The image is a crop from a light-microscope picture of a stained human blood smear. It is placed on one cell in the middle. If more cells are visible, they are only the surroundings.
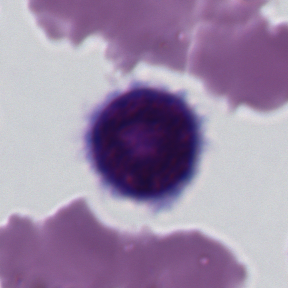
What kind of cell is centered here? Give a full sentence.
In this crop, the cell at the very middle is a hairy cell.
